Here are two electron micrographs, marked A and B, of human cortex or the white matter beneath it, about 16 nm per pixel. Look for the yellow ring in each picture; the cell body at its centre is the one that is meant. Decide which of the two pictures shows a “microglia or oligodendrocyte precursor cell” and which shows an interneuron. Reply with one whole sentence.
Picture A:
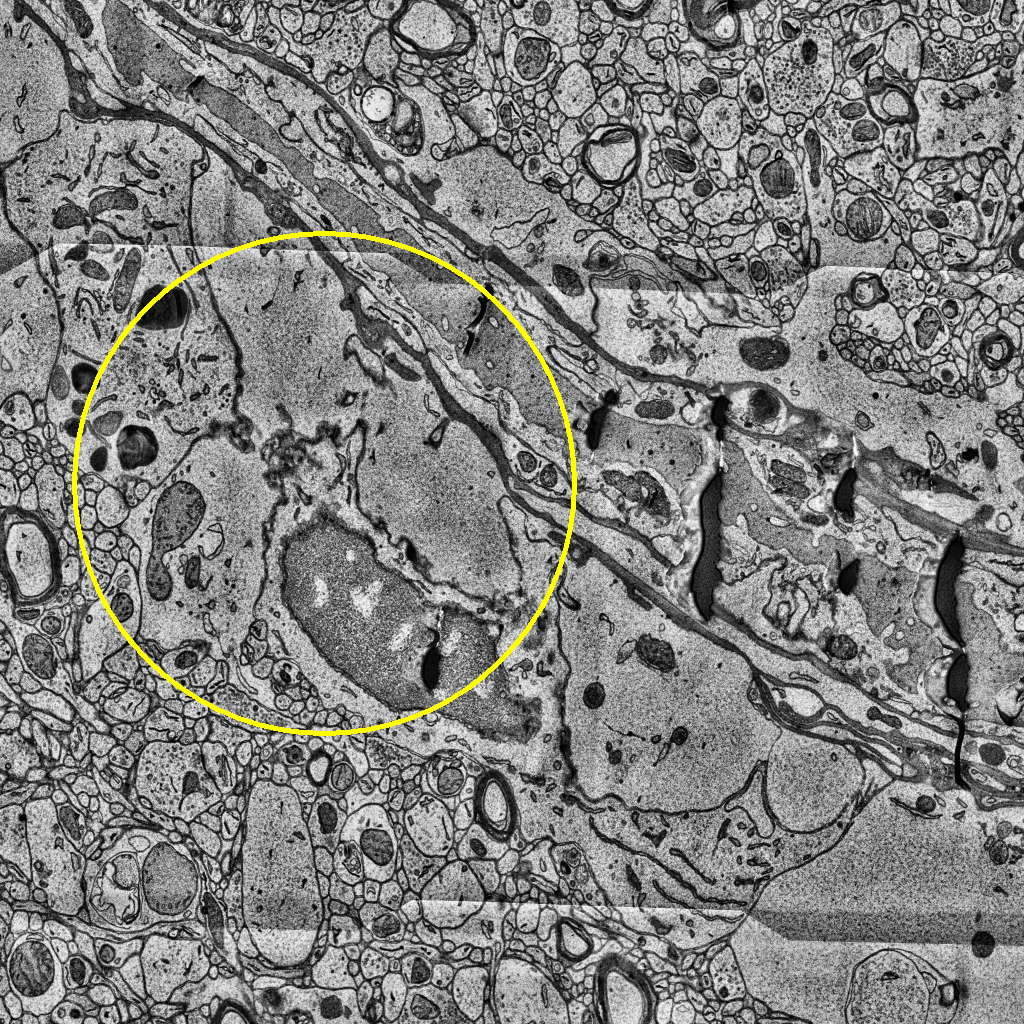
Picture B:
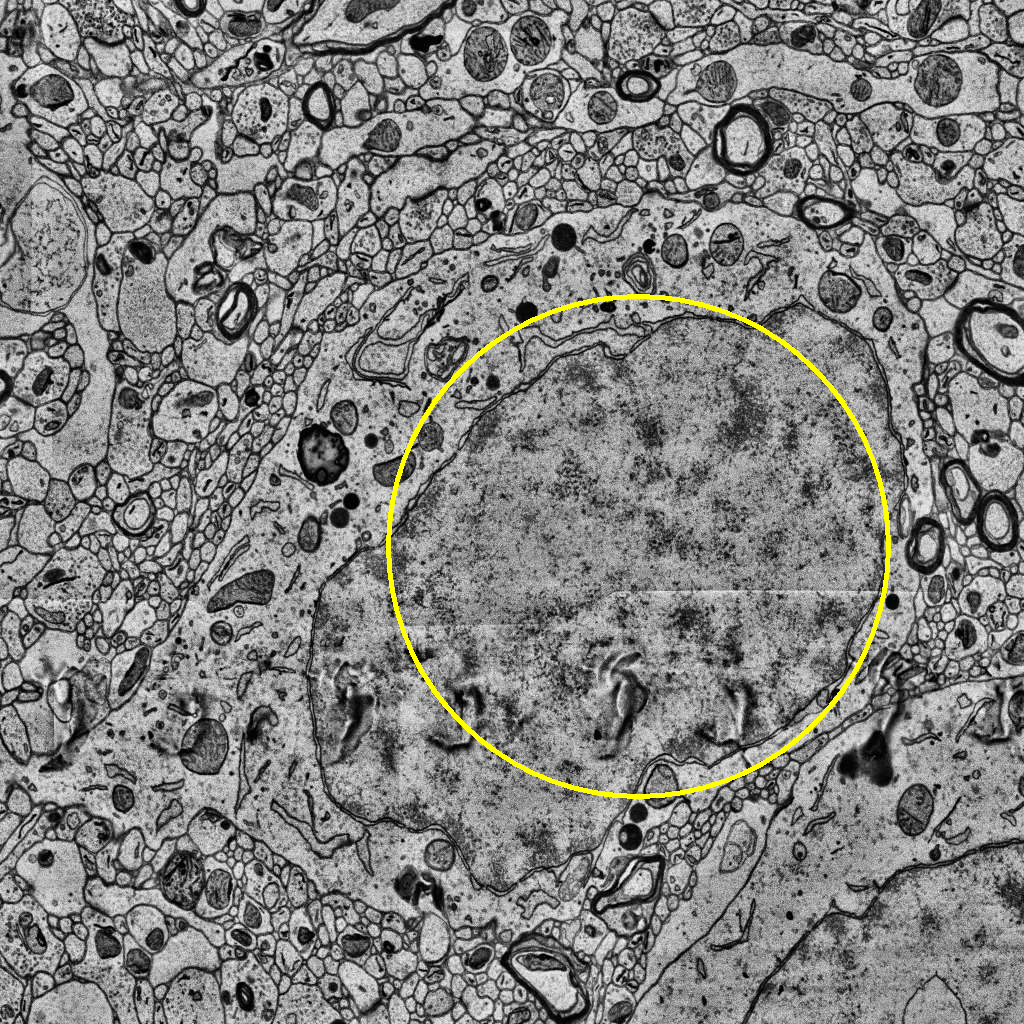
Picture A shows a “microglia or oligodendrocyte precursor cell” and picture B shows an interneuron.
